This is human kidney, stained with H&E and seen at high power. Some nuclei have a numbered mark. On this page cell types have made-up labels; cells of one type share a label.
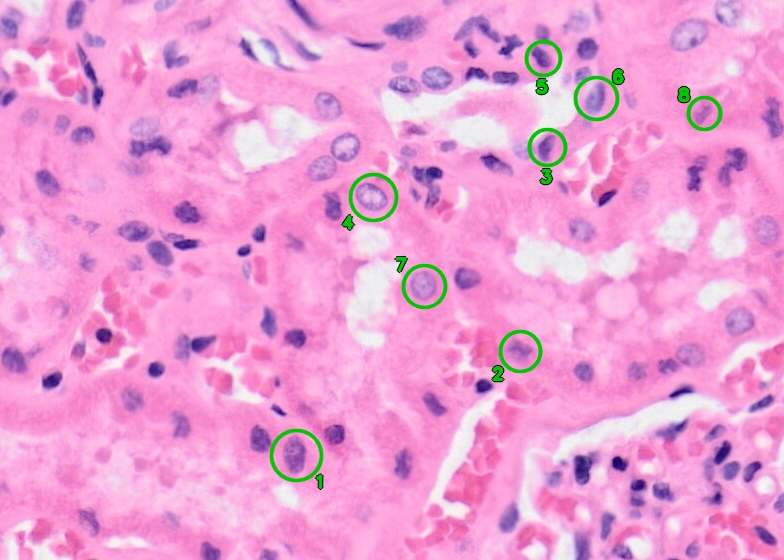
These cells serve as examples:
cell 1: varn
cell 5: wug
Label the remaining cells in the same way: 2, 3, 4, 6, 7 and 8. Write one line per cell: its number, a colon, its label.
2: varn
3: wug
4: varn
6: wug
7: varn
8: varn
